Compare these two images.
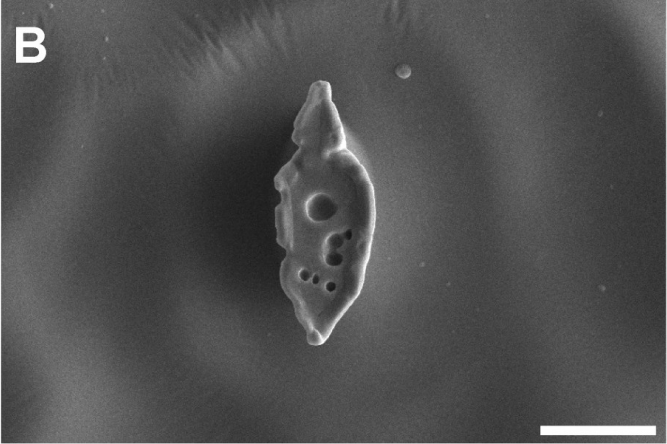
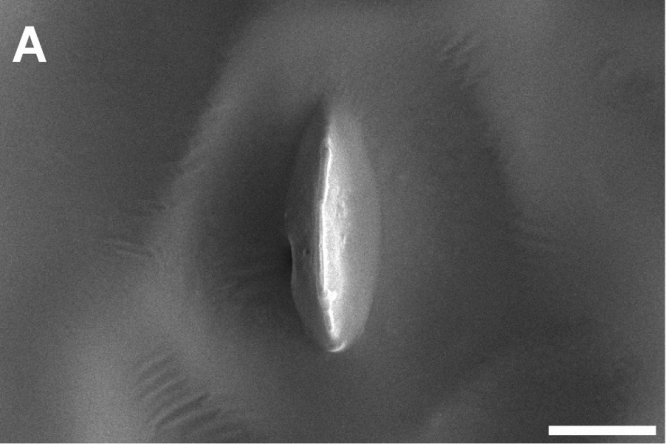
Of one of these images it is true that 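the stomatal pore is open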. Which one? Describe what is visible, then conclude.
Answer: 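First image: the central structure is a broad, lens-shaped plateau with a flat, holed top. Second image: the central structure is only a thin, slit-like ridge. That points to this answer: the first image.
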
